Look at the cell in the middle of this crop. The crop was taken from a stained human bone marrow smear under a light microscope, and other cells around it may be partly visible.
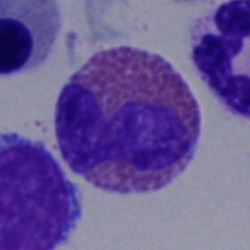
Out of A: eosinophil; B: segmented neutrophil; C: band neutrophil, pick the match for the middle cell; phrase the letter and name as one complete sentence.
In this crop the middle cell is an eosinophil, so option A is the correct answer.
